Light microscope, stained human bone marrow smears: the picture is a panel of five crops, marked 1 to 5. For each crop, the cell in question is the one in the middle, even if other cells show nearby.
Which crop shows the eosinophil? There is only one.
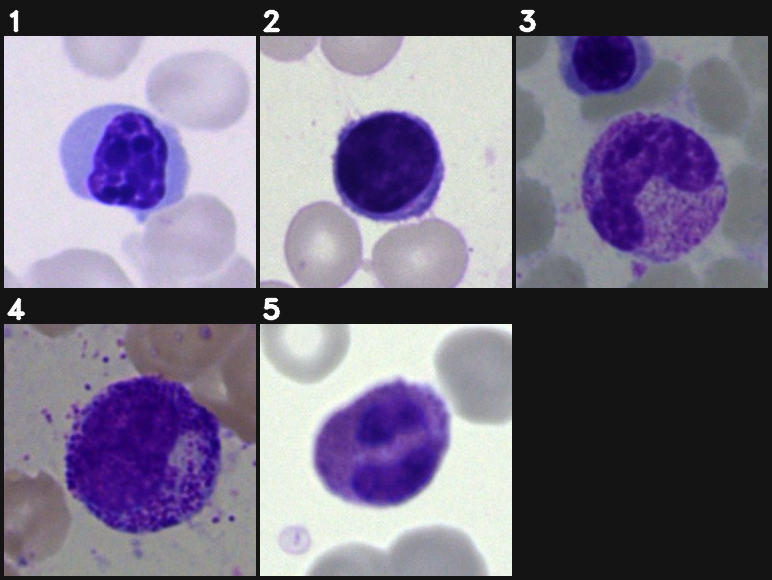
5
